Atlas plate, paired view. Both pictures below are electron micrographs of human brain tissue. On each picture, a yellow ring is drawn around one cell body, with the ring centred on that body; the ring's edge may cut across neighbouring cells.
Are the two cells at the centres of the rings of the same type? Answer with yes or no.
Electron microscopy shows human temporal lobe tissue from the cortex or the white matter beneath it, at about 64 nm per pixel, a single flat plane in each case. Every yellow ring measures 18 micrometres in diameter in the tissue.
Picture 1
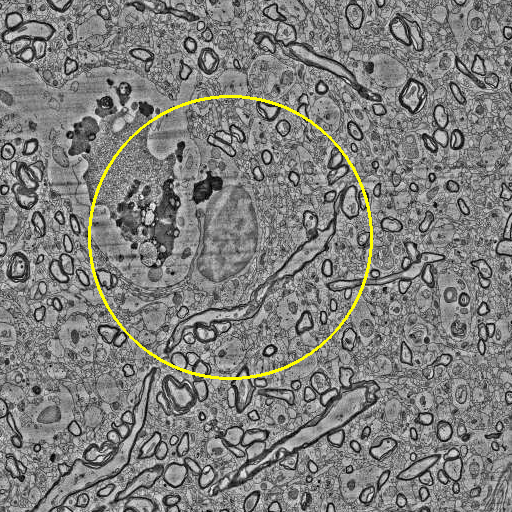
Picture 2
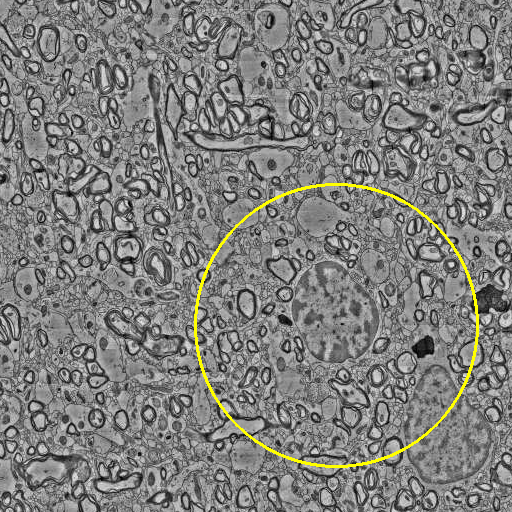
no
